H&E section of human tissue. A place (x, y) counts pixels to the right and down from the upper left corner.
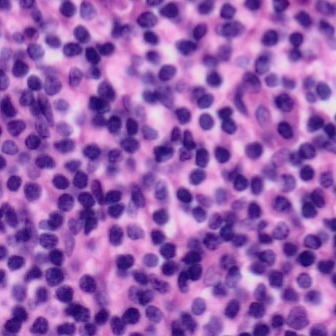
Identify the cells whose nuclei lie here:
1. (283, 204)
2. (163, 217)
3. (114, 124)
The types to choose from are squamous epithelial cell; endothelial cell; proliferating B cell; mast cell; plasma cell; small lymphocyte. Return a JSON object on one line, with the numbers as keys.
{"1": "plasma cell", "2": "small lymphocyte", "3": "small lymphocyte"}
